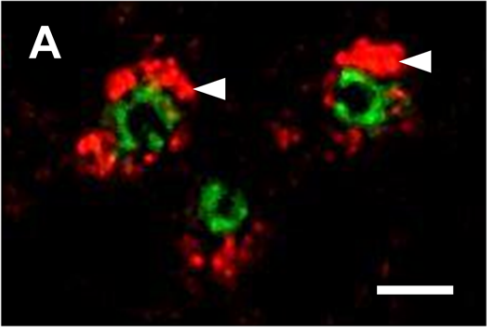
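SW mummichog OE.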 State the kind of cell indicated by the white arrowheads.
Accessory cells.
